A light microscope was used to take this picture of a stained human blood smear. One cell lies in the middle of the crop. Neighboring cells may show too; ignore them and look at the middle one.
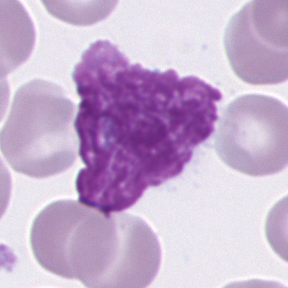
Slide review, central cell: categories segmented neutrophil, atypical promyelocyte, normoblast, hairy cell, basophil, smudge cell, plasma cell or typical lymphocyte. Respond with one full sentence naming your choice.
Answering briefly, the cell in the middle is a smudge cell.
